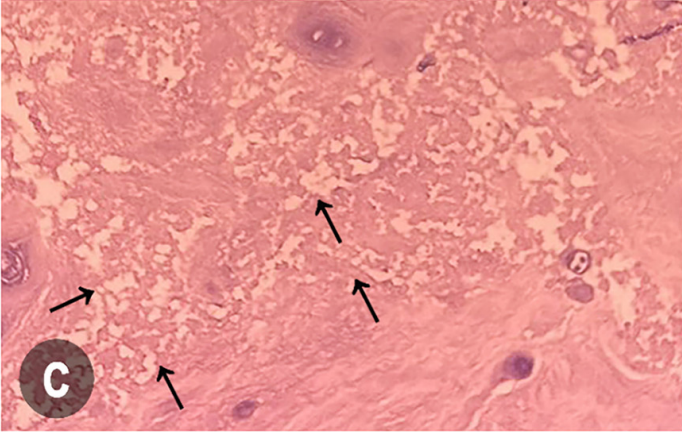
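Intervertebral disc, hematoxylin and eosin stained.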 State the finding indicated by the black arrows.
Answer: Granular alterations.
